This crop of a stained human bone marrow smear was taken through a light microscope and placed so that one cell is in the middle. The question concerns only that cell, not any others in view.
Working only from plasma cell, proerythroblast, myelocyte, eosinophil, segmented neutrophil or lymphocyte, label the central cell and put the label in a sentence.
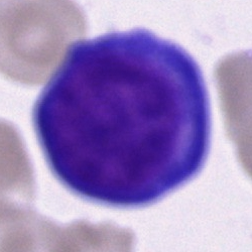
The cell nearest the centre of this crop is a proerythroblast.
